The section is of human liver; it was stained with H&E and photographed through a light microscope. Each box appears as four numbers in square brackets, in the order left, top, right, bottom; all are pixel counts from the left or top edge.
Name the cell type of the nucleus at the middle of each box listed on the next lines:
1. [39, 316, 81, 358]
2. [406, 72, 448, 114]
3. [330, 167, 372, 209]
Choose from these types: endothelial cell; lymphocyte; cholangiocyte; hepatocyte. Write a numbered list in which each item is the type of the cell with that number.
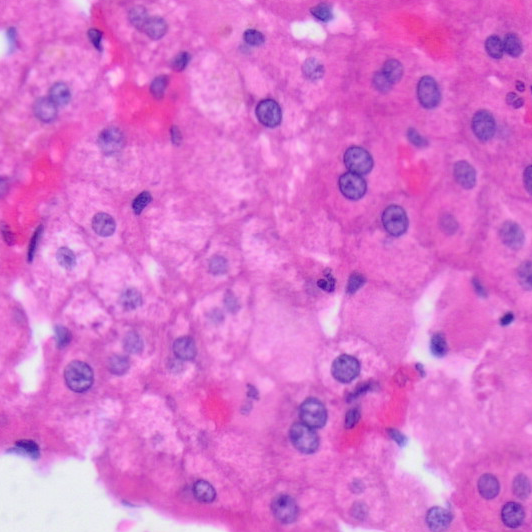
1. endothelial cell
2. hepatocyte
3. hepatocyte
